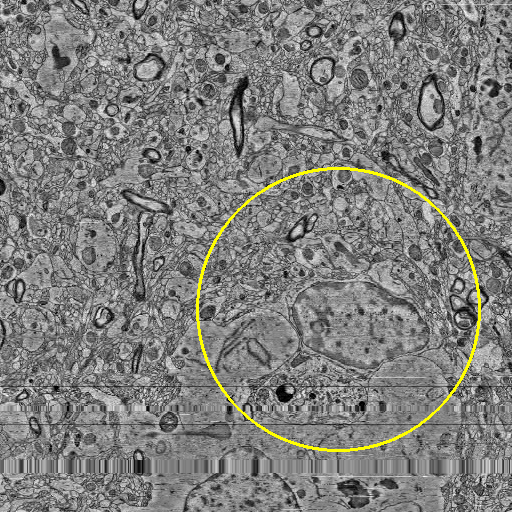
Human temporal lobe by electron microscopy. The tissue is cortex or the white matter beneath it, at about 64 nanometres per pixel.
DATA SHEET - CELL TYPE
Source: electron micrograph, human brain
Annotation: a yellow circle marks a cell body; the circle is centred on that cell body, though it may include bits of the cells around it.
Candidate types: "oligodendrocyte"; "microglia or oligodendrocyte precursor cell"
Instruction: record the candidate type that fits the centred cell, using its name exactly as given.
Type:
microglia or oligodendrocyte precursor cell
